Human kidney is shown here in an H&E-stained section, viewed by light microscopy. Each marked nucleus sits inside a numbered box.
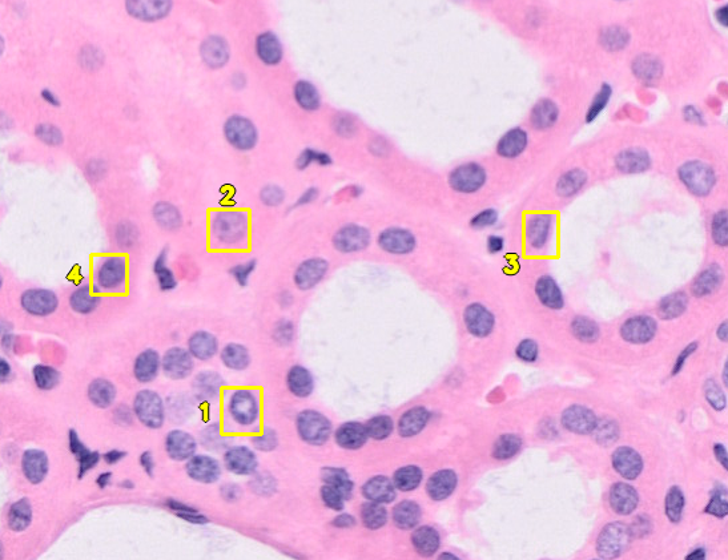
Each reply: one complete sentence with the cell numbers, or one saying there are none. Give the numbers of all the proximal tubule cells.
Of the numbered nuclei, only the one labelled 2 belongs to a proximal tubule cell.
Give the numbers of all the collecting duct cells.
Cell number 1 alone is a collecting duct cell; the rest are not.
